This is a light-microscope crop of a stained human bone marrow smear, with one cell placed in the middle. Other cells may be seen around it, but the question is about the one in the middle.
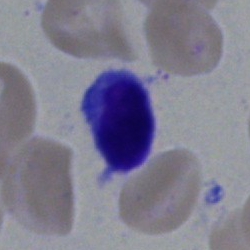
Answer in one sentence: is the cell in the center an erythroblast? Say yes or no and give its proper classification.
No, an erythroblast is not what the central cell is; it is a lymphocyte.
